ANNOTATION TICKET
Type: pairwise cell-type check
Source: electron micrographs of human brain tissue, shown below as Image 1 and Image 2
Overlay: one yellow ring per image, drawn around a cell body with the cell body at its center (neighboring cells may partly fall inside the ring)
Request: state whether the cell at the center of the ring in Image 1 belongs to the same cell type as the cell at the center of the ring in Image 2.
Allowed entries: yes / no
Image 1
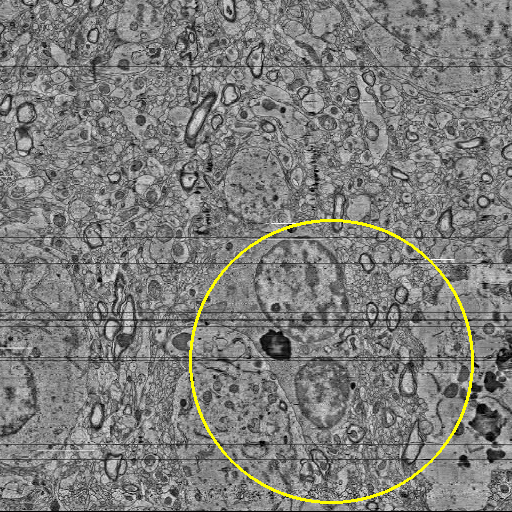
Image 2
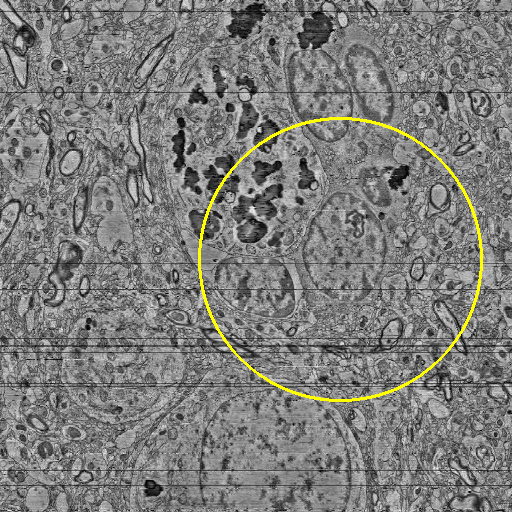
yes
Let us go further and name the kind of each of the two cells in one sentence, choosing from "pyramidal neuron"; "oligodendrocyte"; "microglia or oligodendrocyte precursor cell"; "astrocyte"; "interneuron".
In the first picture and in the second, the ring is centred on an oligodendrocyte.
